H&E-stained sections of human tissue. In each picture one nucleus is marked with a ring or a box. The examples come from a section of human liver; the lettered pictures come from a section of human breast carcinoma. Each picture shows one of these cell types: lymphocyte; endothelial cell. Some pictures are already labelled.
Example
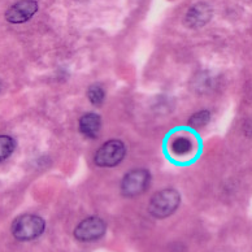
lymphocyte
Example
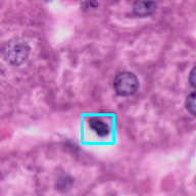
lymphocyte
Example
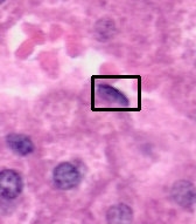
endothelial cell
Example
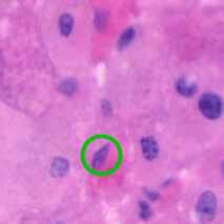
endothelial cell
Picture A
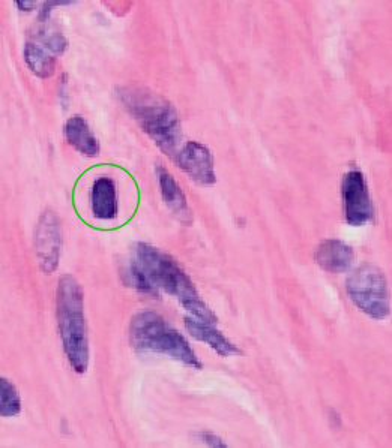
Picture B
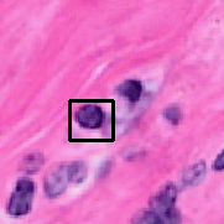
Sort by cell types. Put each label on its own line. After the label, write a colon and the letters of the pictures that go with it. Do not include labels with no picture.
lymphocyte: A, B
